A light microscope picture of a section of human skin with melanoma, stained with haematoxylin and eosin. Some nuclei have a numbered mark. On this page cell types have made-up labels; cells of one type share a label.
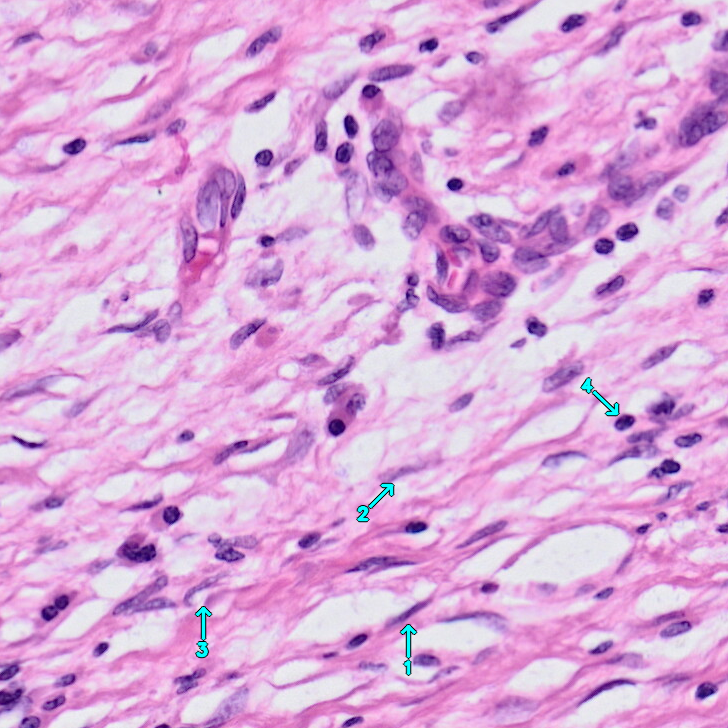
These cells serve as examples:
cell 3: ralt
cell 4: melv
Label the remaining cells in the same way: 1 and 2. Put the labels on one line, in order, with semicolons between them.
ralt; ralt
